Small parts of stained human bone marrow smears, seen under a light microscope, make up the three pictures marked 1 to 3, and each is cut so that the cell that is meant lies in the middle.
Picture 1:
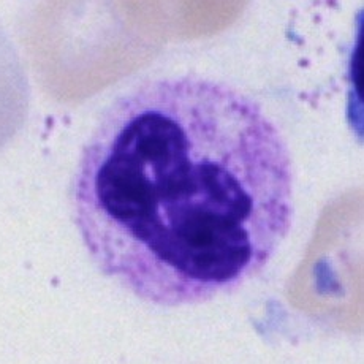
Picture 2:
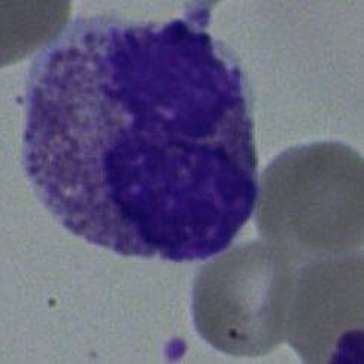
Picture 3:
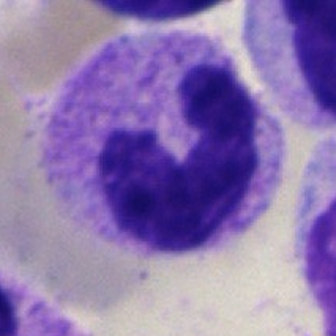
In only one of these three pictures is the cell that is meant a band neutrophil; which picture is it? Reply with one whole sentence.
The picture with the band neutrophil is 3.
